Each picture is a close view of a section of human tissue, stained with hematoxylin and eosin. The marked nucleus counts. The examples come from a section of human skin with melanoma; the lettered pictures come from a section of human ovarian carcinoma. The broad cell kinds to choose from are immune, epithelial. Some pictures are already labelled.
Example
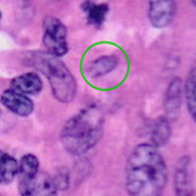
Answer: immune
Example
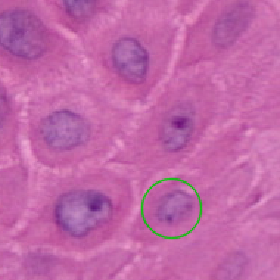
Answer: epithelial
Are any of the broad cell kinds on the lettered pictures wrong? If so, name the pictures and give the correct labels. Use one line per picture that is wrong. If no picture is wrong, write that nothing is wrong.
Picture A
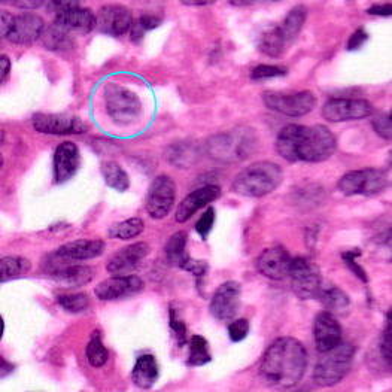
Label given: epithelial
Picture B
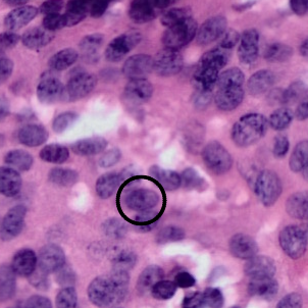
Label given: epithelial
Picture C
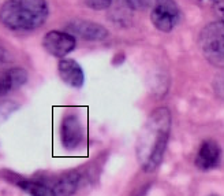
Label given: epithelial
Wrong: A (epithelial); correct: immune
